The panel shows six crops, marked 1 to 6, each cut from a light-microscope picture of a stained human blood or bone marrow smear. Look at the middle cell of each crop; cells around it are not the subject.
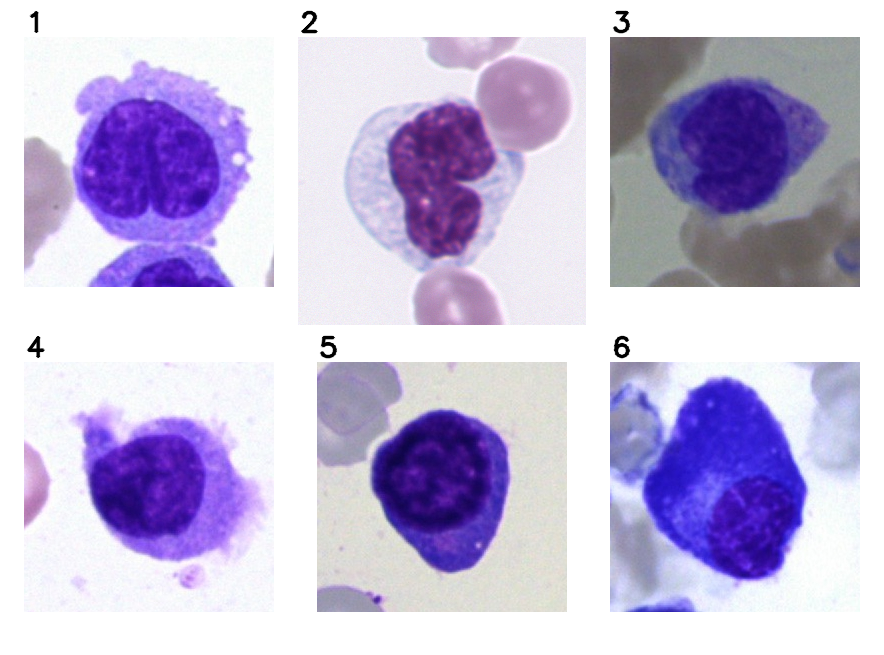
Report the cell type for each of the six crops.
1: monocyte
2: monocyte
3: monocyte
4: plasma cell
5: plasma cell
6: plasma cell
